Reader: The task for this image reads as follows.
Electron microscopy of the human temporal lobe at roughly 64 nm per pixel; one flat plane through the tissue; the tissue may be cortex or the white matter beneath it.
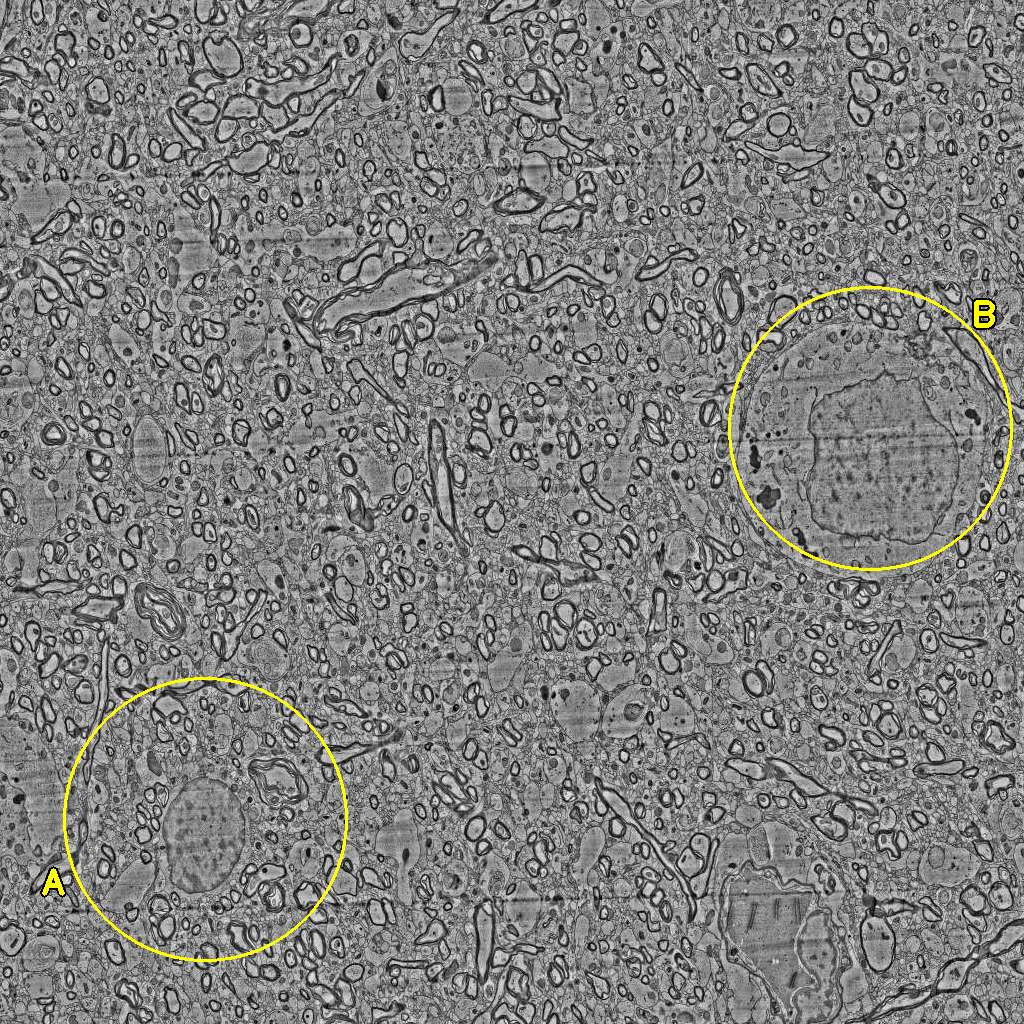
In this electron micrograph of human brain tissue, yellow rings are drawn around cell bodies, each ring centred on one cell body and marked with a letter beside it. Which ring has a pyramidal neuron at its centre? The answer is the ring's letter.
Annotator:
B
